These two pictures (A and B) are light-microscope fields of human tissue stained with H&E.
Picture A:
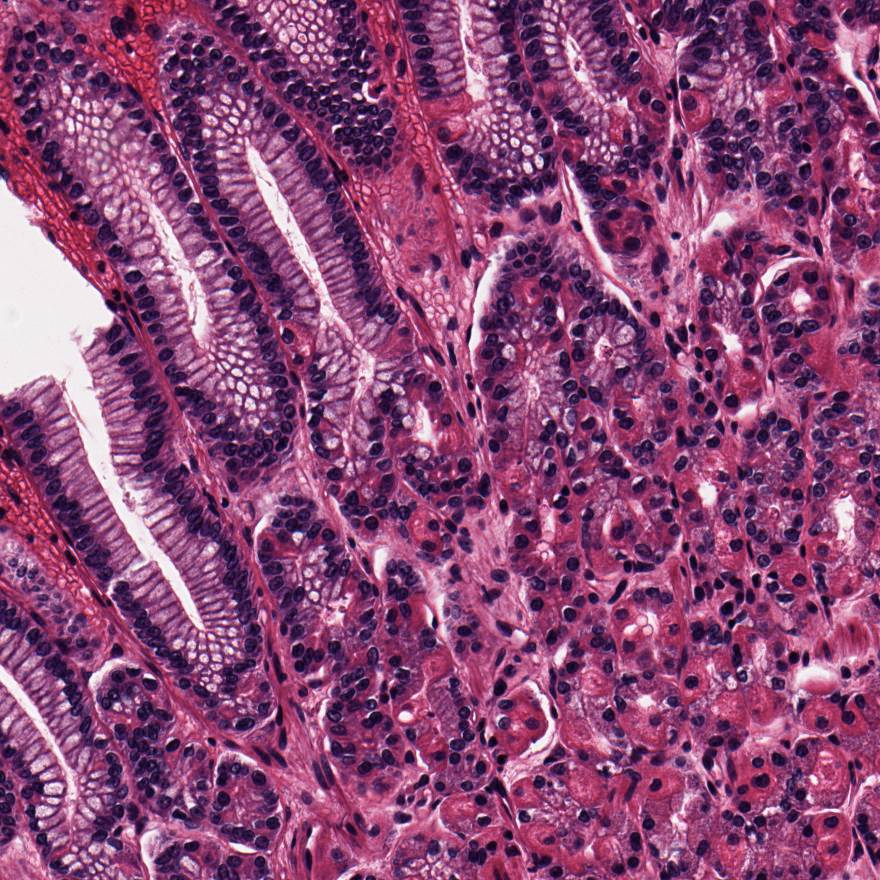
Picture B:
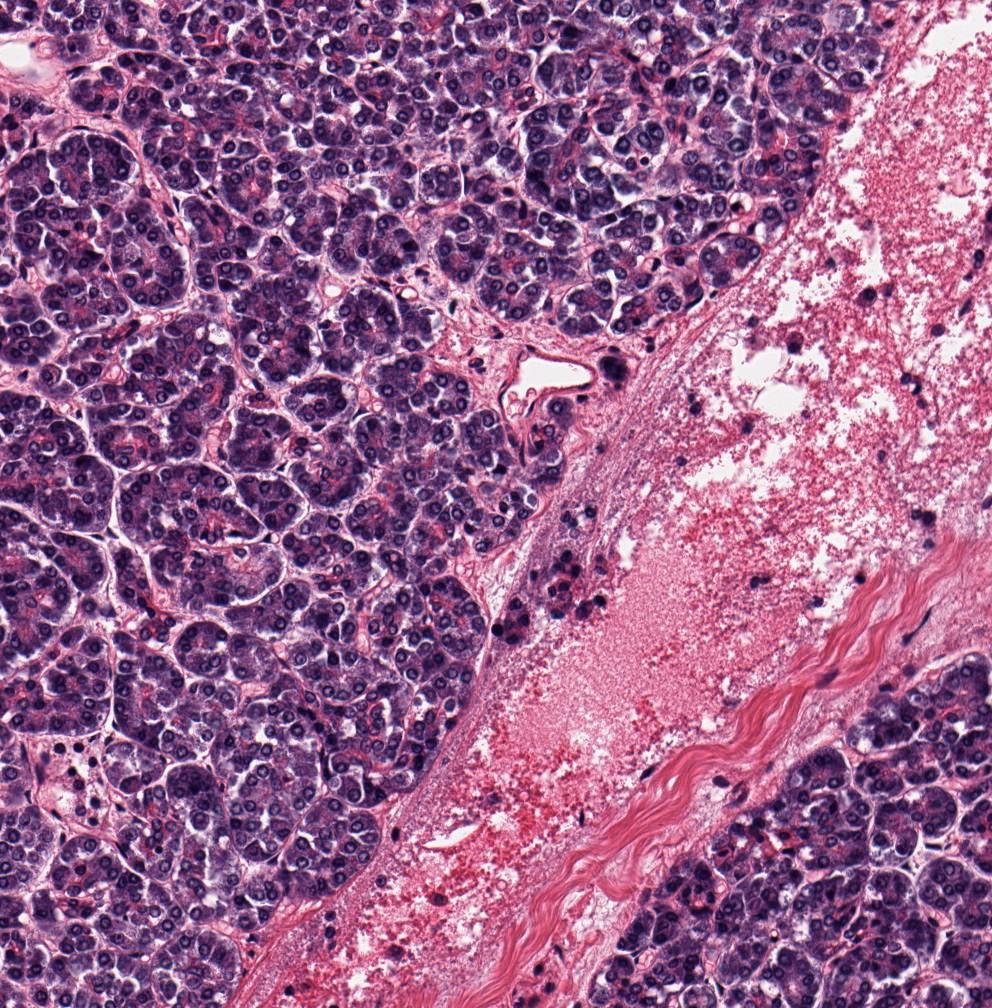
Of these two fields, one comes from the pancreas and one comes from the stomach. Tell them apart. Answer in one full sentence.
Picture B comes from the pancreas, while picture A comes from the stomach.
